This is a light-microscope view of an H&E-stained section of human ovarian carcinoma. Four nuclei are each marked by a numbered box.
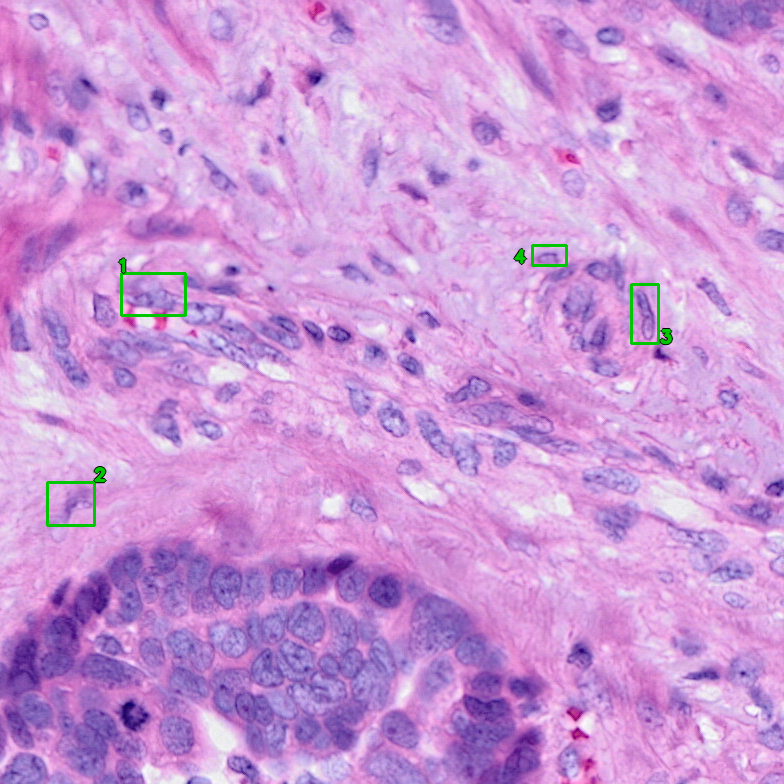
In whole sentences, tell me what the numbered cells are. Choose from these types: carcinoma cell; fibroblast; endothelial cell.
Cell 1 is an endothelial cell, cell 2 is a fibroblast, cell 3 is a fibroblast and cell 4 is a fibroblast.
